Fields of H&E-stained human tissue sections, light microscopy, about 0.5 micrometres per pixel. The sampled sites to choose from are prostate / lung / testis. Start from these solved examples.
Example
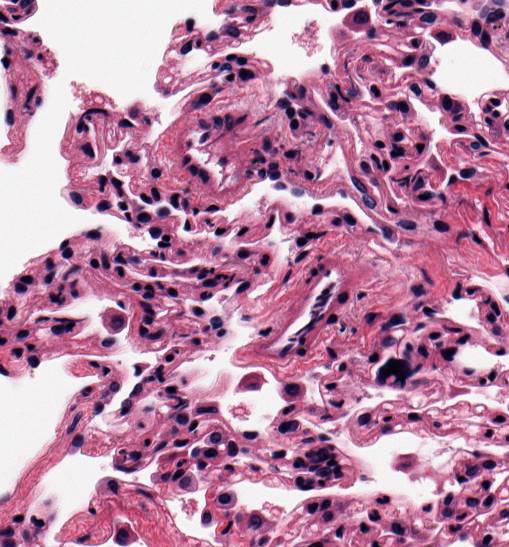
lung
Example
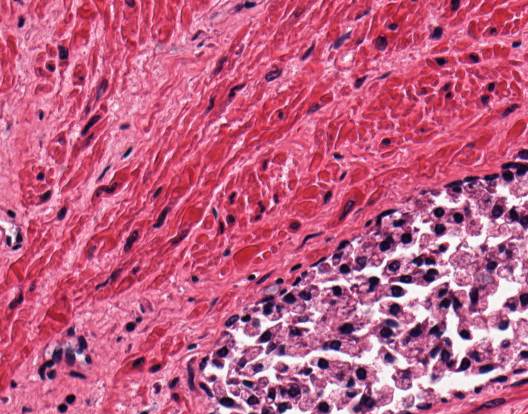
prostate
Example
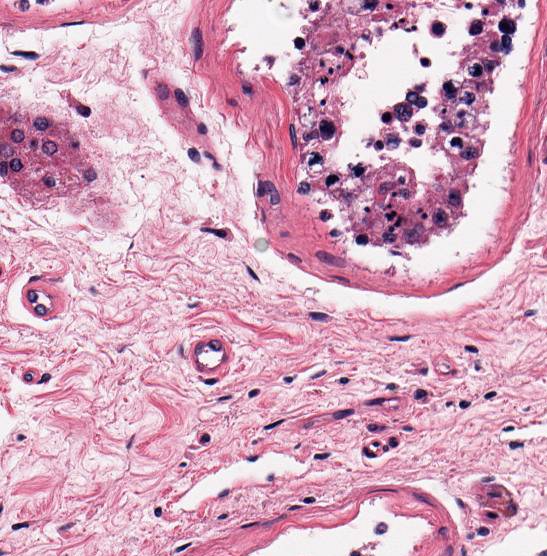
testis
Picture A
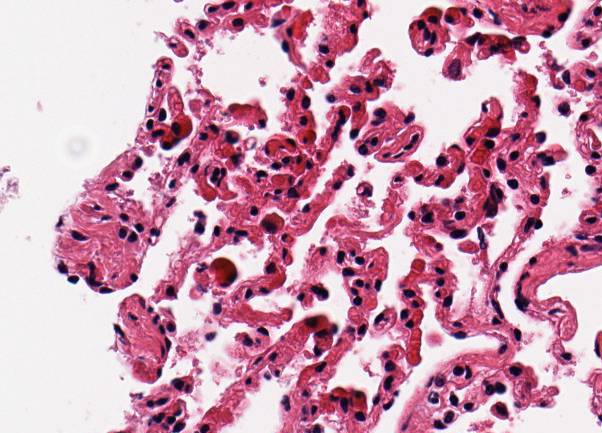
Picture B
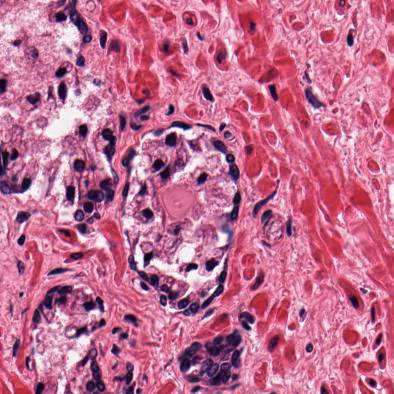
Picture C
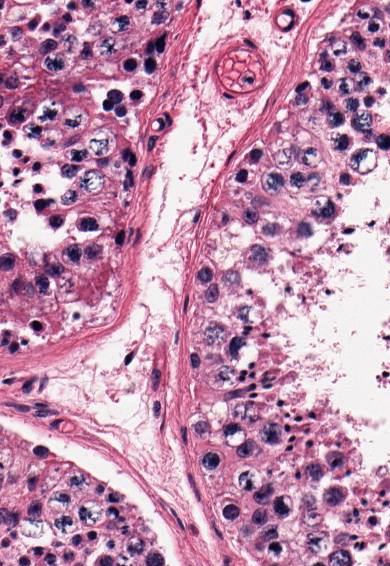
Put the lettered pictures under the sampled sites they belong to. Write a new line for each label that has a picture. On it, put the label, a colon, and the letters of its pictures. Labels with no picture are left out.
prostate: B
lung: A
testis: C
